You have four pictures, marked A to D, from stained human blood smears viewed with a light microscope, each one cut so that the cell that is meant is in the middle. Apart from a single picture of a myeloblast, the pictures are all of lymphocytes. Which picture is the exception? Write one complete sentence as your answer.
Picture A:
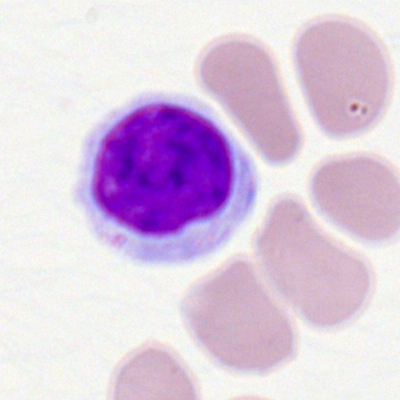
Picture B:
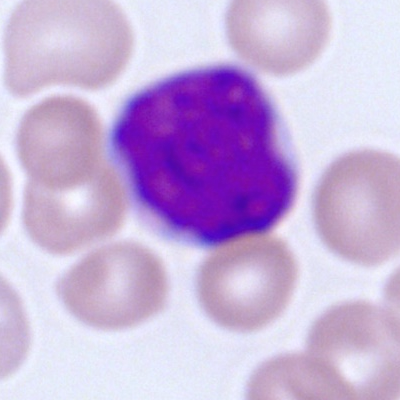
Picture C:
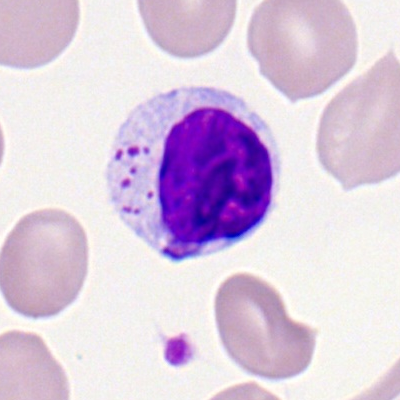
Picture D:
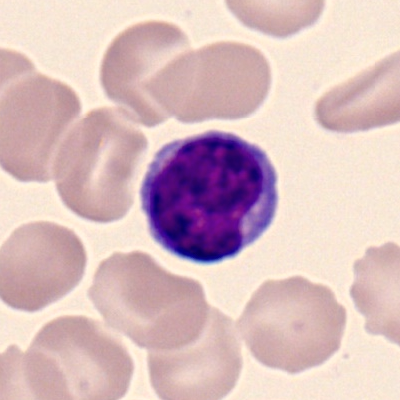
Picture B is the one that shows the myeloblast.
